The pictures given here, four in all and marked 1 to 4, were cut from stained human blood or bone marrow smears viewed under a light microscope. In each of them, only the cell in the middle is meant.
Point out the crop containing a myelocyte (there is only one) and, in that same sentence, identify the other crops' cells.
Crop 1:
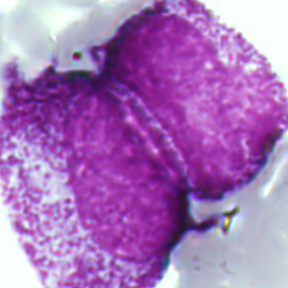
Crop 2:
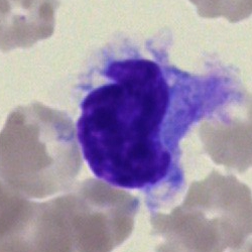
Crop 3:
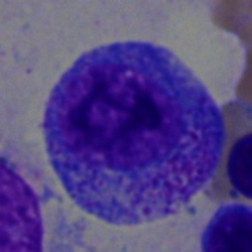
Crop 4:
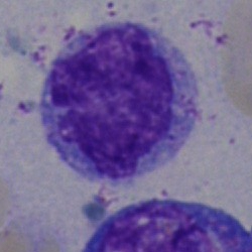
It is crop 1 that shows a myelocyte, while crop 2 is a hairy cell, crop 3 is a promyelocyte and crop 4 is a monocyte.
